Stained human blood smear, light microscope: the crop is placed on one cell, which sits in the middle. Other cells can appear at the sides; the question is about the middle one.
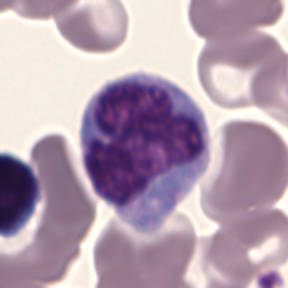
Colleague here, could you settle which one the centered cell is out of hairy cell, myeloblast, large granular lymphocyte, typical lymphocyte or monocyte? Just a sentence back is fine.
The cell at the middle of the frame should be recorded as a monocyte.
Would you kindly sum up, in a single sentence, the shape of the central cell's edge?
Smooth all around, the outline has no projections to report.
